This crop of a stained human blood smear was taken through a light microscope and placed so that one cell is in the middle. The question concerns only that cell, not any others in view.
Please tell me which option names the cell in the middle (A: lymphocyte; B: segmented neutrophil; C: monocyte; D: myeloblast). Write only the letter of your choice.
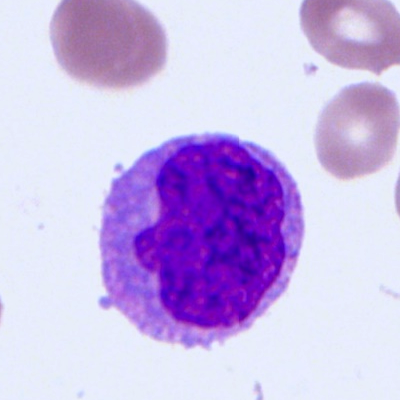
C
